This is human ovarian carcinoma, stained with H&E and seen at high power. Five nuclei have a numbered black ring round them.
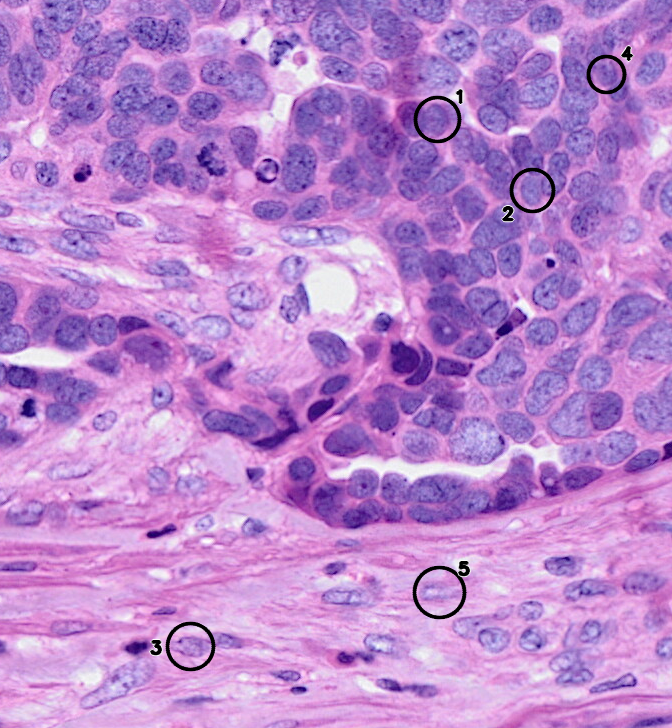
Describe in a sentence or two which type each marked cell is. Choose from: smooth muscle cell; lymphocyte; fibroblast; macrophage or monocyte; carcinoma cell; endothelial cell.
Cells 1, 2 and 4 are carcinoma cells. Cells 3 and 5 are fibroblasts.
